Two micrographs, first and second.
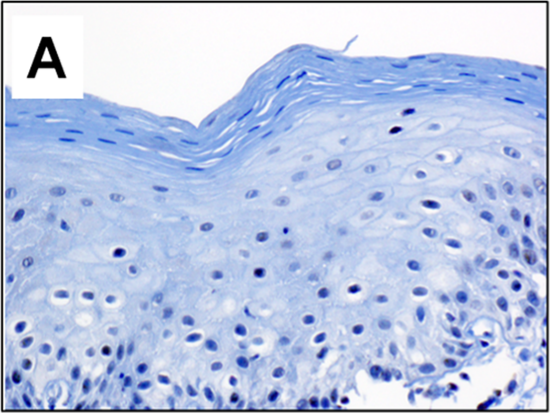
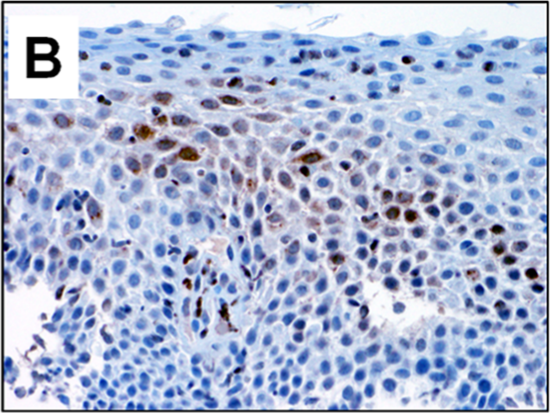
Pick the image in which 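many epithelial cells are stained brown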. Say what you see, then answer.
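Second image: numerous cells throughout the epithelium carry brown stain of varying intensity. First image: the epithelium is blue only, with no brown stain.
Answer: the second image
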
